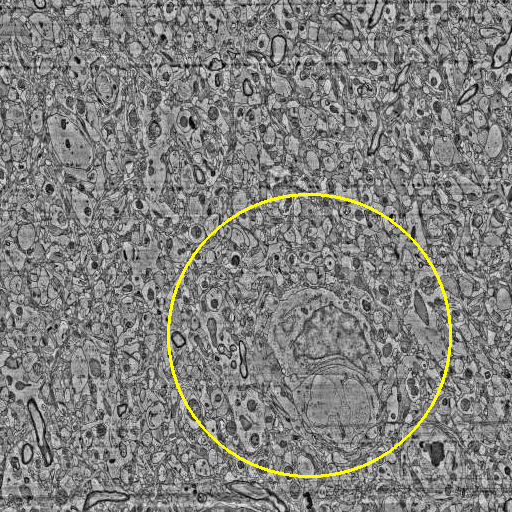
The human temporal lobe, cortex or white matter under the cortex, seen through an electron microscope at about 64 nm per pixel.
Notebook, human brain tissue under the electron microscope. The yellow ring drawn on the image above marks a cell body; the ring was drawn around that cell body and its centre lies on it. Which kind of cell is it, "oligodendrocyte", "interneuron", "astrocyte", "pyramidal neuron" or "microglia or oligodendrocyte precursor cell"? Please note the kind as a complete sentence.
The marked cell body is that of an interneuron.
